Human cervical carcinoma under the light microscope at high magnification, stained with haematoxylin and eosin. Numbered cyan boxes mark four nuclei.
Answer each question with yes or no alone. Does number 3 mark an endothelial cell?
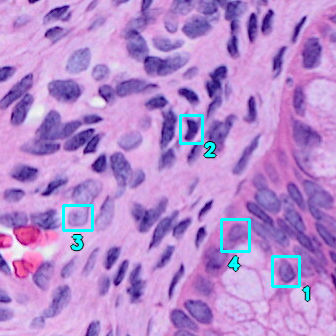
yes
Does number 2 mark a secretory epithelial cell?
no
